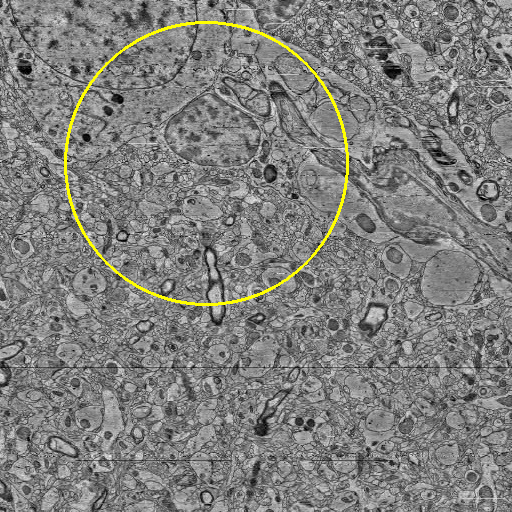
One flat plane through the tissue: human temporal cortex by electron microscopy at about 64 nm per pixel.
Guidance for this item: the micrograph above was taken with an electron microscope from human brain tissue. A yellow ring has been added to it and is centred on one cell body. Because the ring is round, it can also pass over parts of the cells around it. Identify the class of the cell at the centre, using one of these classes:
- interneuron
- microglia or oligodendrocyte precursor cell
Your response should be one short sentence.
The ring surrounds the body of a microglial cell or oligodendrocyte precursor cell.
